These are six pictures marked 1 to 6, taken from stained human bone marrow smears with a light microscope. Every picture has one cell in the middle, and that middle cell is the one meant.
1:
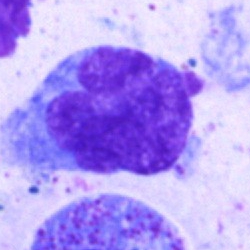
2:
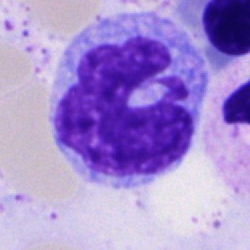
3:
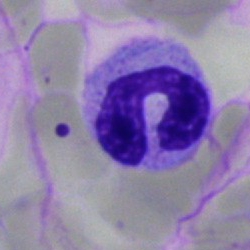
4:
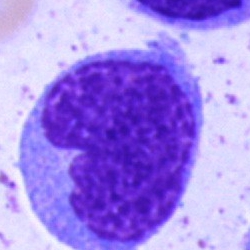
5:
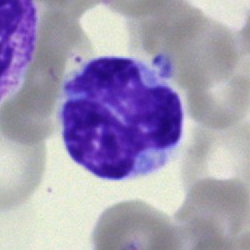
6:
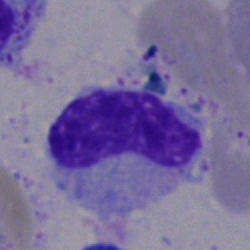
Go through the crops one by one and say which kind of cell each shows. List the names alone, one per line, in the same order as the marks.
monocyte
monocyte
band neutrophil
monocyte
monocyte
band neutrophil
